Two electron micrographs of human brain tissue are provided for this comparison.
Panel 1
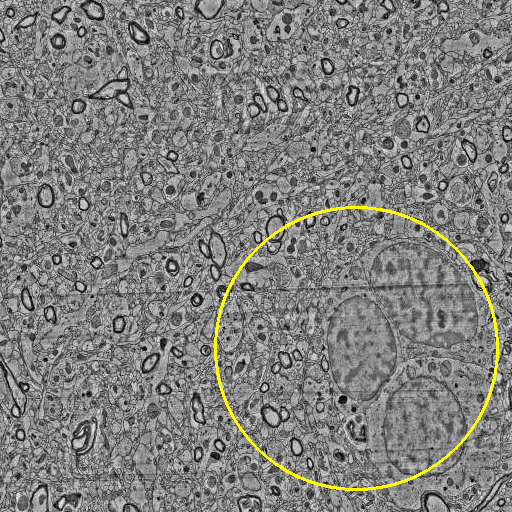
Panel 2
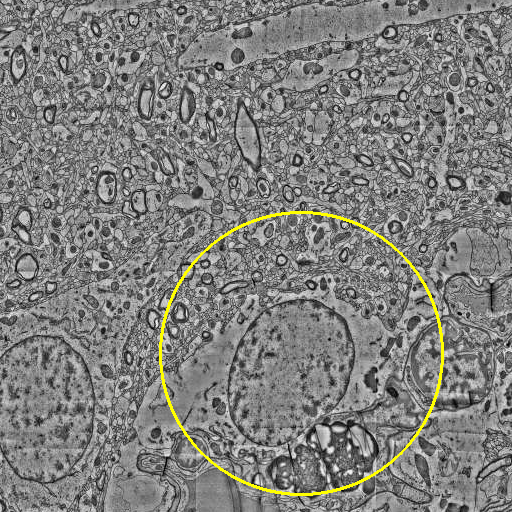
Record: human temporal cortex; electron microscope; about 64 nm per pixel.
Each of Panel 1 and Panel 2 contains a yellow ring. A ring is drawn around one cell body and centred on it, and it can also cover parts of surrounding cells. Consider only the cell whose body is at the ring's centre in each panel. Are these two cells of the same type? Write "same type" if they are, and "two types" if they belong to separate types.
two types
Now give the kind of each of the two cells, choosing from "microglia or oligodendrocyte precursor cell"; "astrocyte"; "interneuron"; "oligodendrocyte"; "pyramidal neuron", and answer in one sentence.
The cell in the first picture is an oligodendrocyte, and the cell in the second is an astrocyte.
